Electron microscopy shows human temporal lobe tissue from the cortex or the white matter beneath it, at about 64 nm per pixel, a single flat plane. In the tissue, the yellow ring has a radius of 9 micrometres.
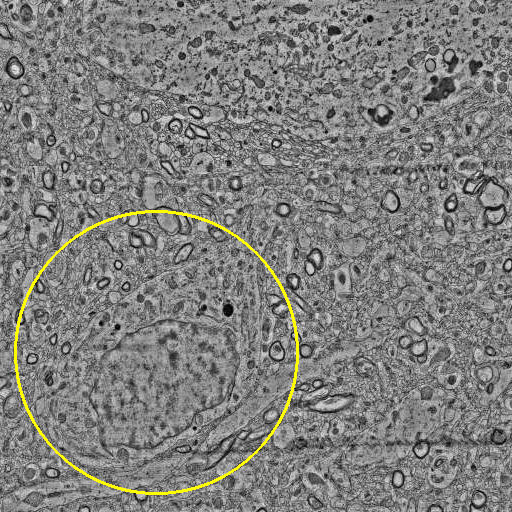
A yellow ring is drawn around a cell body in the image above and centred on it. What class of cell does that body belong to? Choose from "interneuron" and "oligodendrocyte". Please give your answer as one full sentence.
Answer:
The yellow ring above is centred on the cell body of an interneuron.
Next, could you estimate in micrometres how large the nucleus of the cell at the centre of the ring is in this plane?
The nucleus is approximately 11 micrometers long by 7 micrometers wide in this plane.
